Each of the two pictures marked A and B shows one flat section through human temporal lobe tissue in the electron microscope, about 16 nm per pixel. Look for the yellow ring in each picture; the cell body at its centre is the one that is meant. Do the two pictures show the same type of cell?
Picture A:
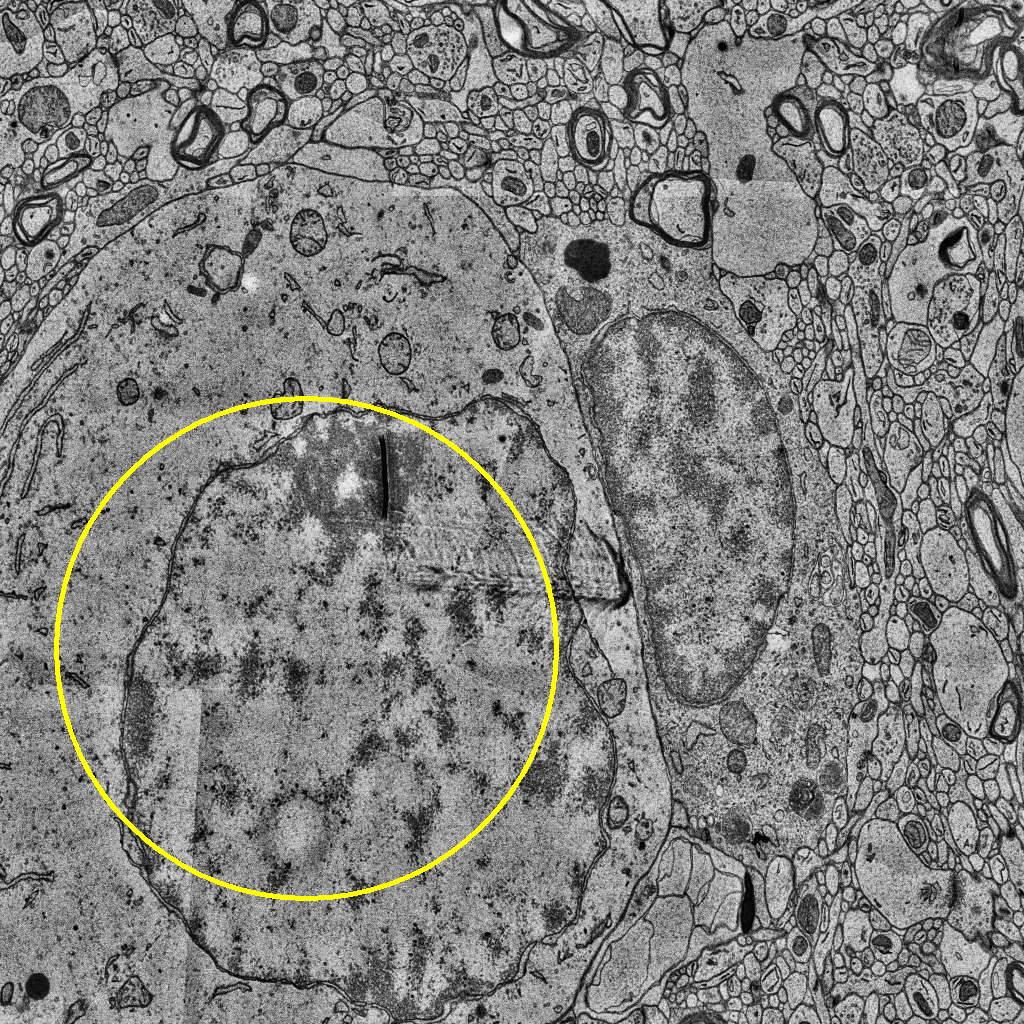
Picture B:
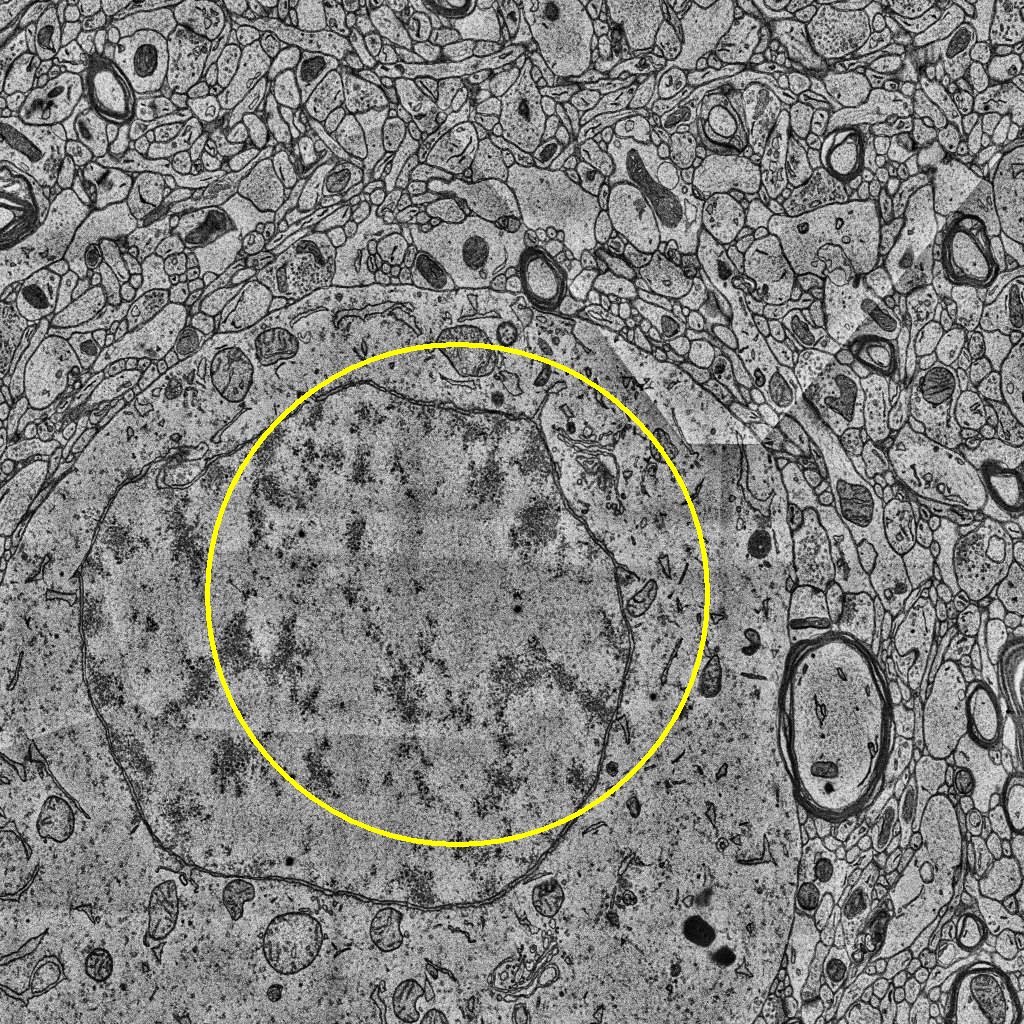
No, picture A shows an interneuron and picture B shows a pyramidal neuron.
